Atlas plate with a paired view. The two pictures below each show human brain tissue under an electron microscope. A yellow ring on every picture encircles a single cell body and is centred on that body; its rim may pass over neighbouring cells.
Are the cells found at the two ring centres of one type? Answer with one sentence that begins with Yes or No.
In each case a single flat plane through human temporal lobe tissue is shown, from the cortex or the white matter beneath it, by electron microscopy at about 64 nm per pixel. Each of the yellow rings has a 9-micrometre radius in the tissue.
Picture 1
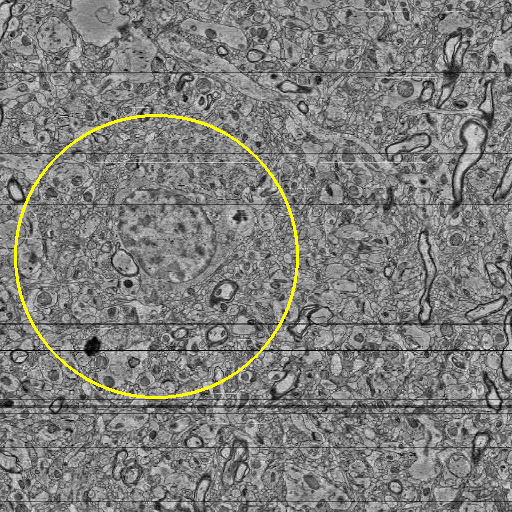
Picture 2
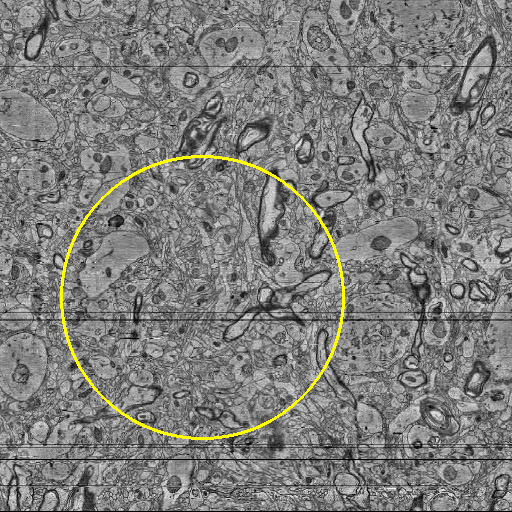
Yes, the two cells lying at the centres of the rings share a single type.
